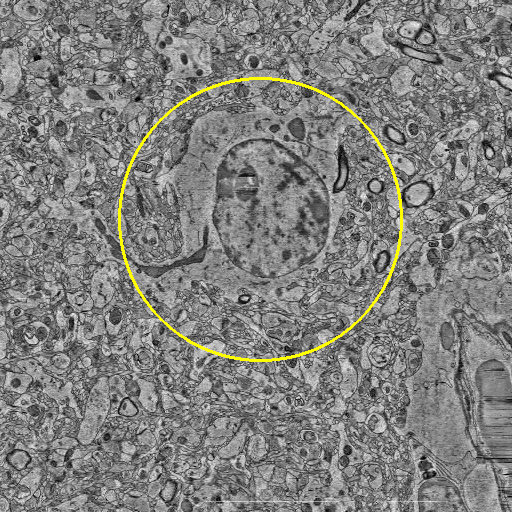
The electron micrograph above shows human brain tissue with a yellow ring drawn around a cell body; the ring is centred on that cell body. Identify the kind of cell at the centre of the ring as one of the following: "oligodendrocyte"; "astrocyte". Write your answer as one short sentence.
The cell at the centre of the ring is an astrocyte.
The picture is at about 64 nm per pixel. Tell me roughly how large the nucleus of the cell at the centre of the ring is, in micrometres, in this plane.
In this plane the nucleus measures roughly 9 by 7 micrometers.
